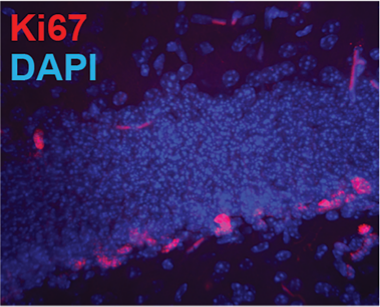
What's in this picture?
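A broad band of tightly packed, small round blue nuclei runs across the field, the granule cell layer of the dentate gyrus, with sparser, larger nuclei scattered above and below it. A handful of nuclei are filled with red; most of them lie along the lower border of the dense band, at the junction between the granule layer and the hilus beneath, some in small clusters. These red nuclei are oval to irregular and a little larger than the neighbouring granule nuclei.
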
